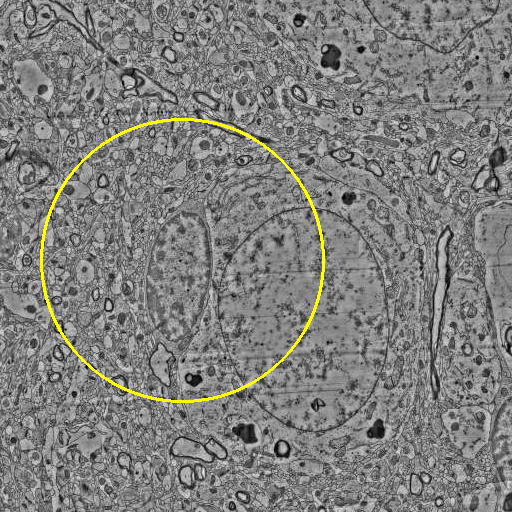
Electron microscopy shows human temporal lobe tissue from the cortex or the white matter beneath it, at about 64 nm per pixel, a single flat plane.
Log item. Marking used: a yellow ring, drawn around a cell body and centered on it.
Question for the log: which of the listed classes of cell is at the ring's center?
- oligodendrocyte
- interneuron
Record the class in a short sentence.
At the center of the ring lies an oligodendrocyte.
